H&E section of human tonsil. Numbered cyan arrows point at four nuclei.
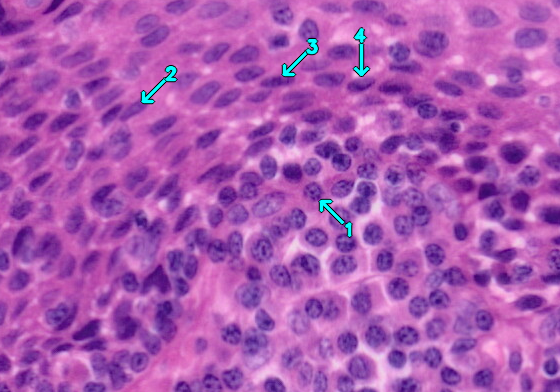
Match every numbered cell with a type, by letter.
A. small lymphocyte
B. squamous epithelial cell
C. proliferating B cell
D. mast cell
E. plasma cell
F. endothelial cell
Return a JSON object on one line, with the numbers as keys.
{"1": "E", "2": "B", "3": "B", "4": "B"}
